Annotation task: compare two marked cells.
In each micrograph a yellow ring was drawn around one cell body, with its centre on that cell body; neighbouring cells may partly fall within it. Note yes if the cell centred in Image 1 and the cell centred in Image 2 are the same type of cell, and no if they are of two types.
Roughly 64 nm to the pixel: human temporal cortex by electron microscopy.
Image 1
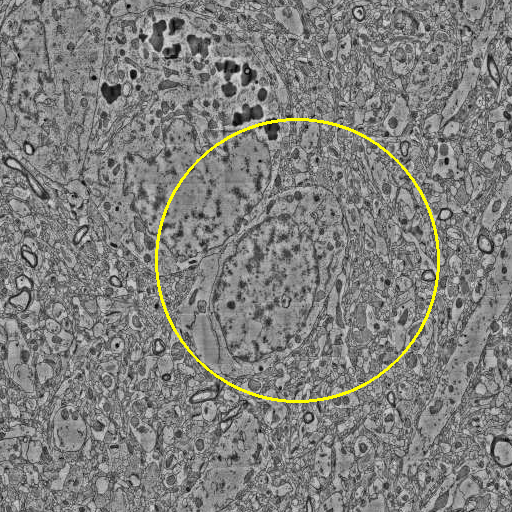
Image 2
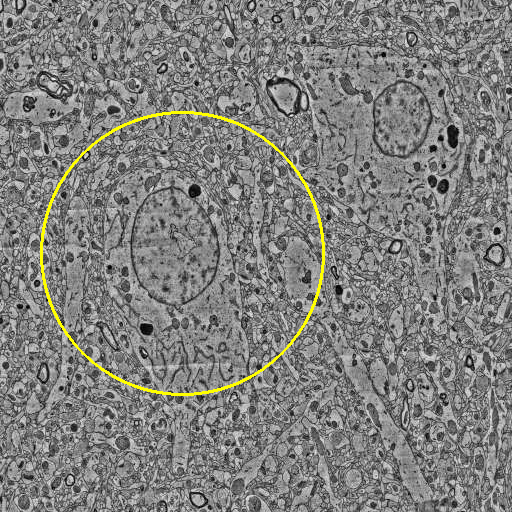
no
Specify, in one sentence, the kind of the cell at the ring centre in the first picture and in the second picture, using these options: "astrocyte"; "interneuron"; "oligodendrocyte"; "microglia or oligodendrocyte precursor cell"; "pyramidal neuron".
So the first is an interneuron, the second a pyramidal neuron.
